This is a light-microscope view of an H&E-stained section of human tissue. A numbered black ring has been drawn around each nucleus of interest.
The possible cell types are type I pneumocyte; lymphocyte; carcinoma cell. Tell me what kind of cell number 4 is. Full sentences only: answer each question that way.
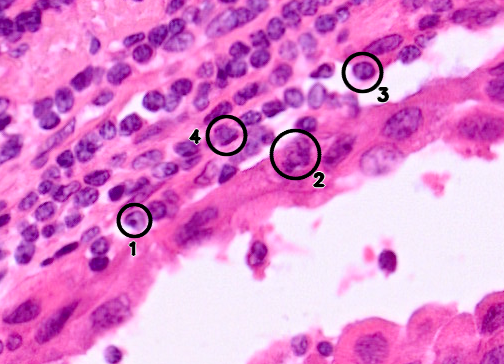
The one numbered 4 among the marked cells is a lymphocyte.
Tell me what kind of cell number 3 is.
Number 3 among the marked cells is a lymphocyte.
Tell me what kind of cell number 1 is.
The cell marked with number 1 is a lymphocyte.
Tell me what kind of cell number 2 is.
Belonging to a carcinoma cell is the nucleus that carries the number 2.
